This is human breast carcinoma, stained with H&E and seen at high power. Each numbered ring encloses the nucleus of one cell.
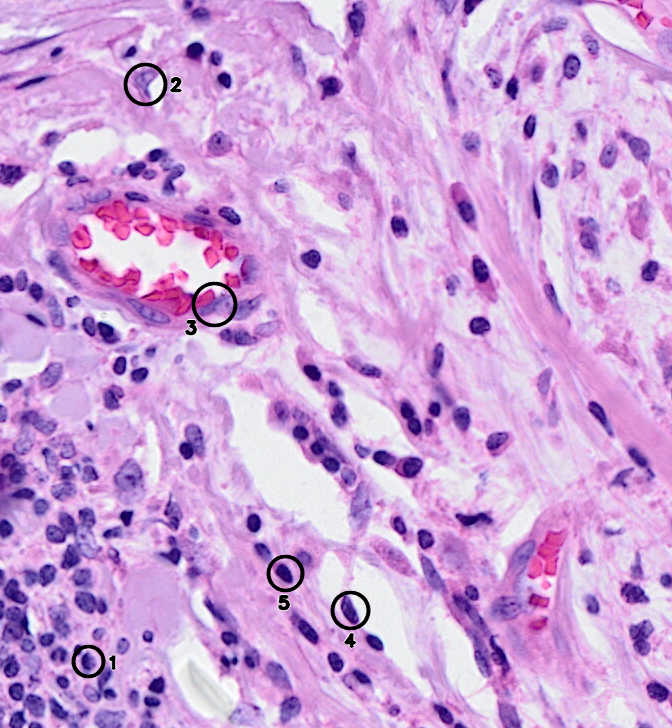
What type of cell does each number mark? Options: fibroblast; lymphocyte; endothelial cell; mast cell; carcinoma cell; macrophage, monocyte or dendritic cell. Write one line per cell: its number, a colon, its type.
1: lymphocyte
2: fibroblast
3: endothelial cell
4: lymphocyte
5: lymphocyte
